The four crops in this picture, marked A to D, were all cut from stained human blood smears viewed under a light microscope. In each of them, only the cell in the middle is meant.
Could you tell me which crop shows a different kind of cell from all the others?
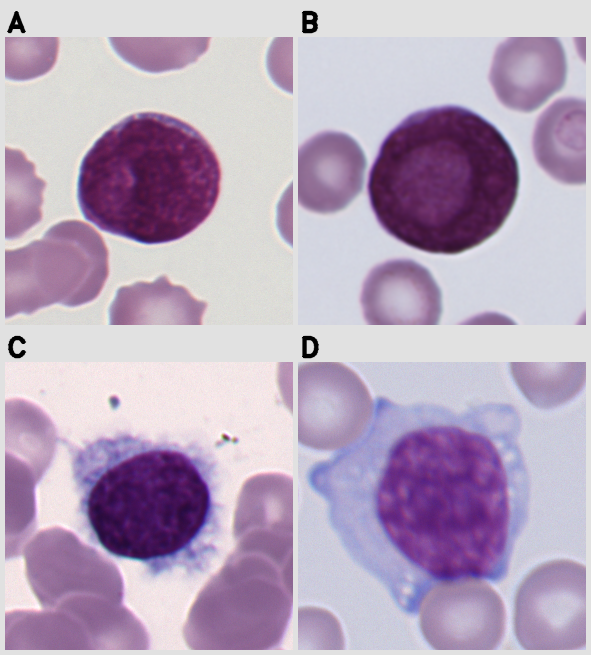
C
